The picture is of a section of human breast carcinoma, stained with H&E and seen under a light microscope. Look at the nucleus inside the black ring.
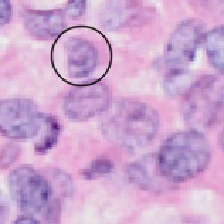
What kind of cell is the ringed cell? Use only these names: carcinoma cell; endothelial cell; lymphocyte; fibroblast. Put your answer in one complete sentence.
The ringed cell is a carcinoma cell.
